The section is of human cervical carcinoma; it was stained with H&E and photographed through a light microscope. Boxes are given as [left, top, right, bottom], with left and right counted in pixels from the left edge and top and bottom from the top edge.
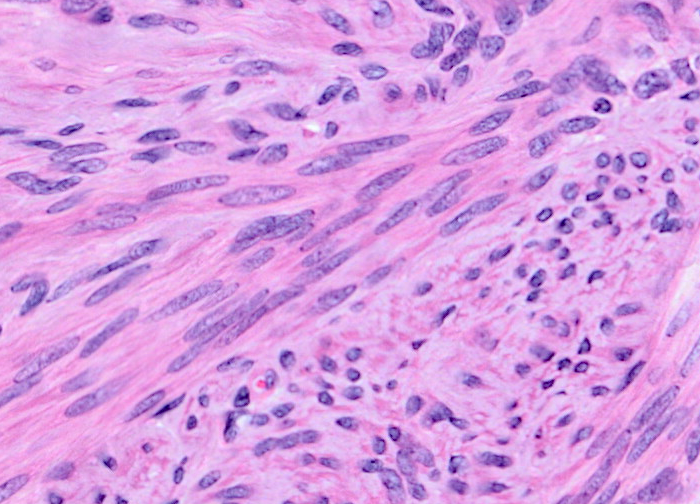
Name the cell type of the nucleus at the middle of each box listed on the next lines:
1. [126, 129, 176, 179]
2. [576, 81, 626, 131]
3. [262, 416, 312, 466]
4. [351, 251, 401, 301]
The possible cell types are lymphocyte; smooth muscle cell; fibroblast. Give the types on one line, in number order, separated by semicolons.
fibroblast; lymphocyte; smooth muscle cell; smooth muscle cell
